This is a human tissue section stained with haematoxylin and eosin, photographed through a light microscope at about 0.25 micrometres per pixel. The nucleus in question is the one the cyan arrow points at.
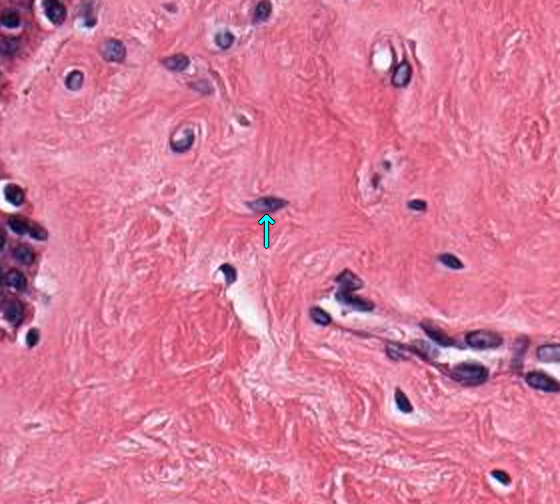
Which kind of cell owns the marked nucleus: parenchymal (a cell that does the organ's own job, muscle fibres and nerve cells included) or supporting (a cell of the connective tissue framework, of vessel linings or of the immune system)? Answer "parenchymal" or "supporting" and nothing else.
supporting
